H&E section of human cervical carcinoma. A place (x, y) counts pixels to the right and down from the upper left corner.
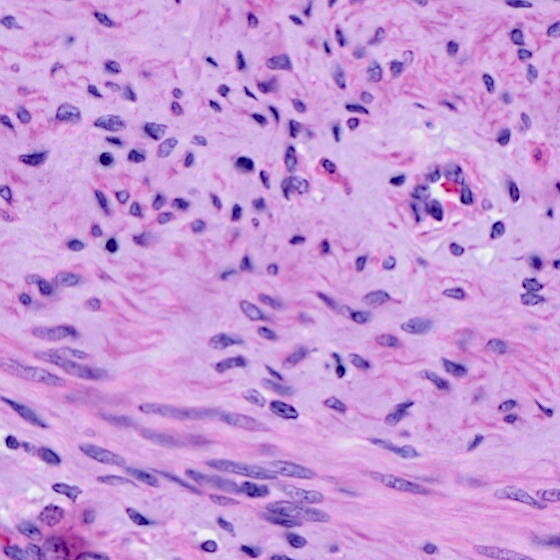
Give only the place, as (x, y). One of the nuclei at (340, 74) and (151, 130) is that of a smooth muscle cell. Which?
(340, 74)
